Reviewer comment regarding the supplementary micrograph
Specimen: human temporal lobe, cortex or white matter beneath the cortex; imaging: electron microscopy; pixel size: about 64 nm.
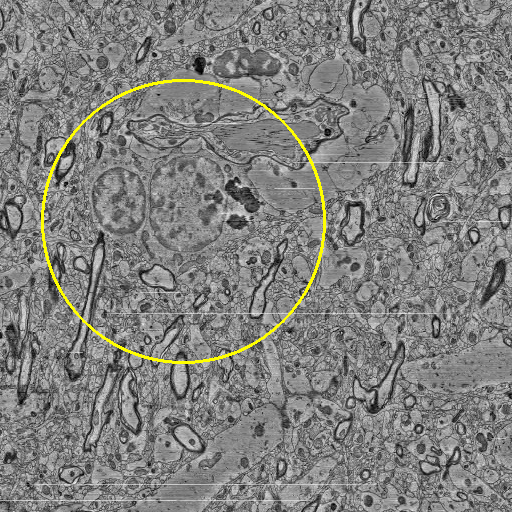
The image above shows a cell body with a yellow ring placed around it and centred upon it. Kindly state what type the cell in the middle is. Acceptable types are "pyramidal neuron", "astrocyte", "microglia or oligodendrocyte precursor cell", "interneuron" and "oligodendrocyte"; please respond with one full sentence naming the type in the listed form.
In the image above, the cell on which the yellow ring is centred is an oligodendrocyte.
